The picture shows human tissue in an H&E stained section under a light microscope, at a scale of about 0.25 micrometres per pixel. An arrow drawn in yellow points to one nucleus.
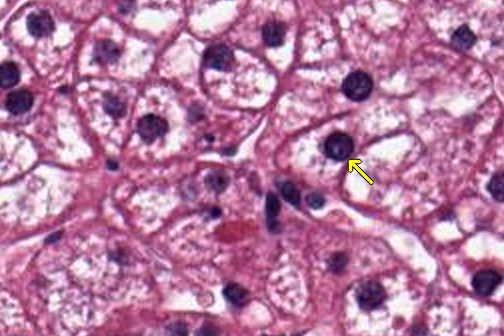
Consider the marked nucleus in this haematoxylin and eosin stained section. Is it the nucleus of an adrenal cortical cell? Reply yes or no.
yes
